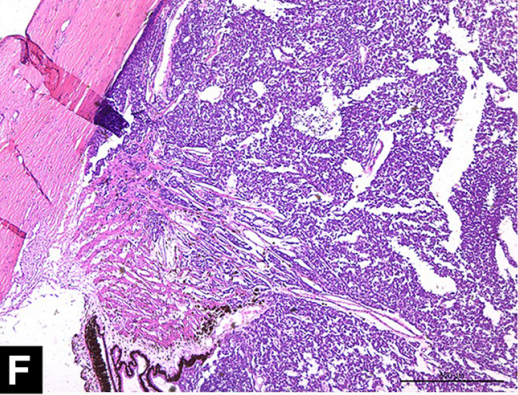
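Sheets of small round tumor cells with dark blue nuclei and very little cytoplasm invade the tissue of the eye wall, filling most of the field with a dense purple mass broken by clefts and small spaces. At the left, bands of pink fibrous tissue border the tumor, and strands of paler pink tissue run into the cell sheets. A dark brown pigmented layer lies at the lower left corner beside the invading cells.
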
